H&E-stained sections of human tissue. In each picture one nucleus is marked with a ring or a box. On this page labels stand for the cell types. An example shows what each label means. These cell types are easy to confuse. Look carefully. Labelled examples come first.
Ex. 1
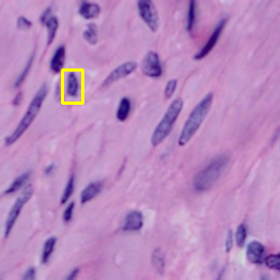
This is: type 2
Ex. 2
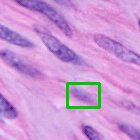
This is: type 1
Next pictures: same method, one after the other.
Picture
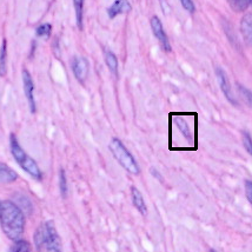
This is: type 2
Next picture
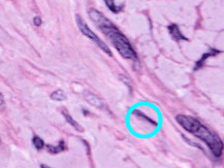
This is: type 2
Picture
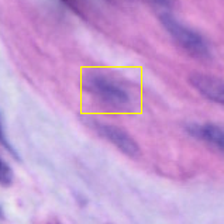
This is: type 1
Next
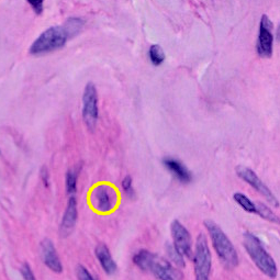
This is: type 1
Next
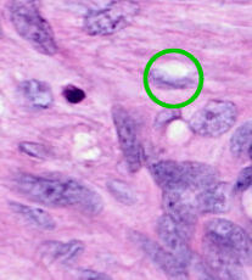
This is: type 2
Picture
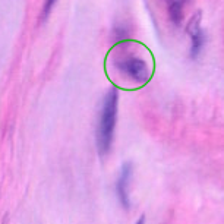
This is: type 1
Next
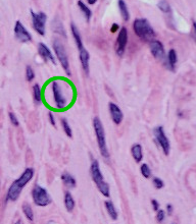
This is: type 1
